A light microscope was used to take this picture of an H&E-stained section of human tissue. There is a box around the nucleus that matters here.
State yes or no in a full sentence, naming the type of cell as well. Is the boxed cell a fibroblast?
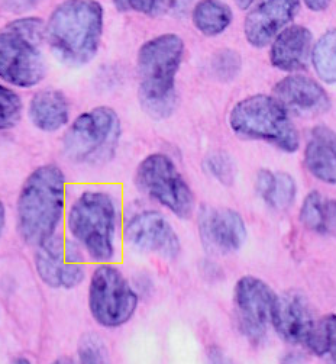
No, the boxed cell qualifies as a carcinoma cell and does not qualify as a fibroblast.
